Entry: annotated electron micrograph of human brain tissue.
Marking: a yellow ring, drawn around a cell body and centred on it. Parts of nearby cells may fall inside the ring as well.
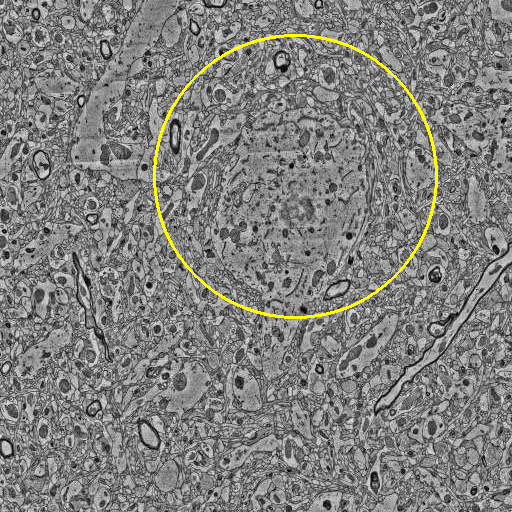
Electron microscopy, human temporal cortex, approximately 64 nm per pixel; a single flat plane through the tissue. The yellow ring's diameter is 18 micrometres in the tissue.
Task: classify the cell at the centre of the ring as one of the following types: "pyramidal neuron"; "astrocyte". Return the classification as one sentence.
The marked cell is classified as a pyramidal neuron.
